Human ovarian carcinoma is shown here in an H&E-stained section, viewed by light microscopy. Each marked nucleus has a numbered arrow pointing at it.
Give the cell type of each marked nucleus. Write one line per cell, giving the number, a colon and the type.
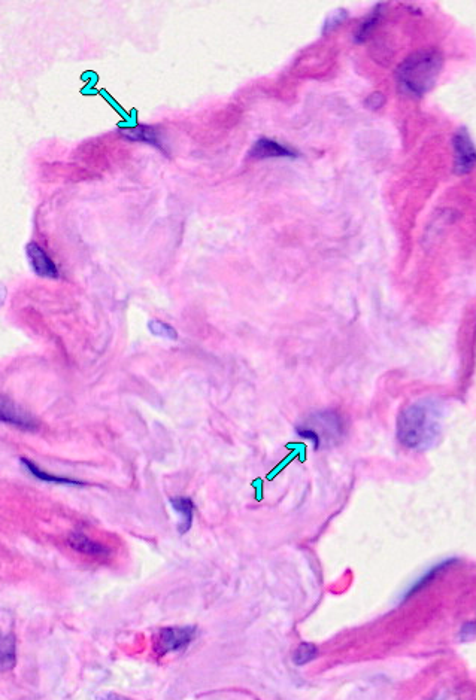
1: fibroblast
2: endothelial cell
